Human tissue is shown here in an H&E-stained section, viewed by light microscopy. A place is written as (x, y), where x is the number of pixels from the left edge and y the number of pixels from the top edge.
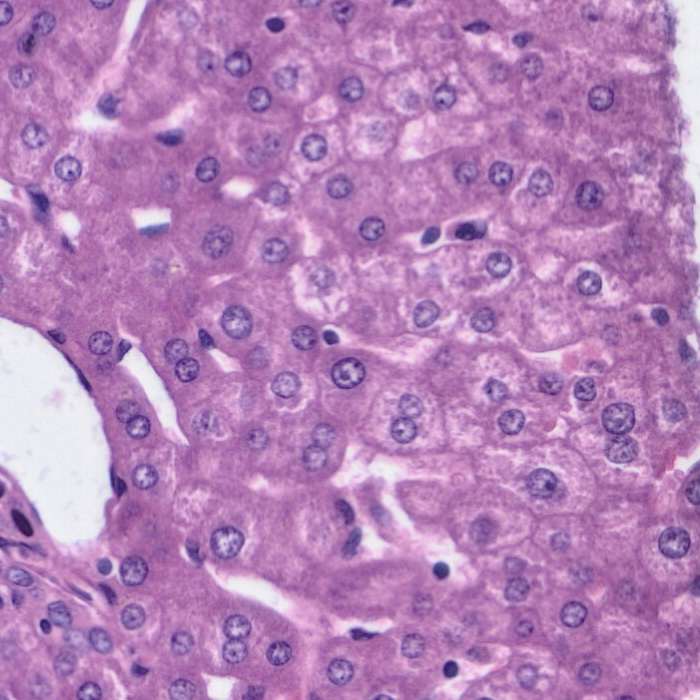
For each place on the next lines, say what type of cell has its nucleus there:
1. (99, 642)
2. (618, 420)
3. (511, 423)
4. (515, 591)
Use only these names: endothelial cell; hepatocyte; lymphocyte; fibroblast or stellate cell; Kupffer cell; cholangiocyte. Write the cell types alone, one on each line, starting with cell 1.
cholangiocyte
hepatocyte
hepatocyte
hepatocyte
